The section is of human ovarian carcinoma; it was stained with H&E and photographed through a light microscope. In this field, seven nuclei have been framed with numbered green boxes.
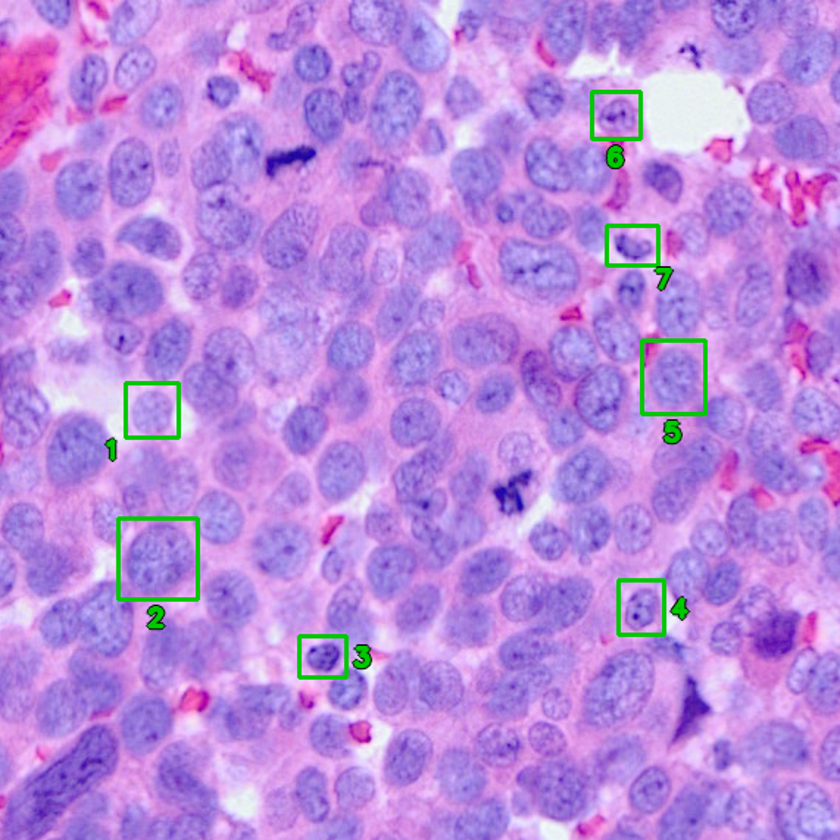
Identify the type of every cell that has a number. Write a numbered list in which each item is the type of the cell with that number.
1. carcinoma cell
2. carcinoma cell
3. lymphocyte
4. macrophage or monocyte
5. carcinoma cell
6. macrophage or monocyte
7. macrophage or monocyte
